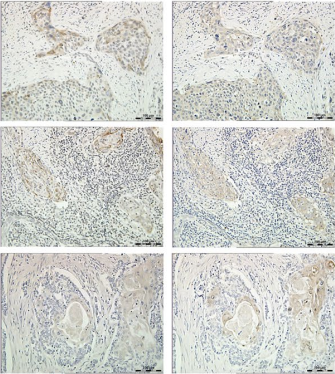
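Rounded and irregular nests of crowded tumor cells with blue nuclei lie within paler, looser stroma, and in the middle row the stroma is densely packed with small dark nuclei. Light brown staining sits mainly within the tumor nests rather than in the surrounding stroma.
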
